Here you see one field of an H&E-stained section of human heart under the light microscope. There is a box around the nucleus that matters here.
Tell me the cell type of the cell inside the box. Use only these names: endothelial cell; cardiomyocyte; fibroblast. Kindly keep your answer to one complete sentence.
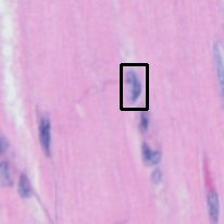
Cytologically, the cell inside the box is to be regarded as a fibroblast.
